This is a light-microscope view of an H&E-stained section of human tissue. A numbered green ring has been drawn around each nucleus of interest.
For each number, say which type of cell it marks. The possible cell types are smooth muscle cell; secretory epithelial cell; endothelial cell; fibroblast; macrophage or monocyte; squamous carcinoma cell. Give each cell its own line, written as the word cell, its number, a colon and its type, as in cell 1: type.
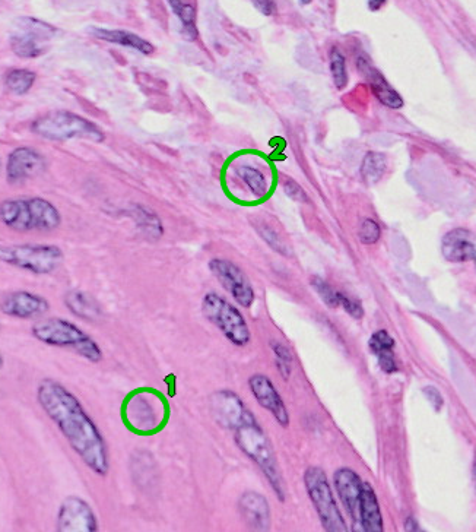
cell 1: squamous carcinoma cell
cell 2: fibroblast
